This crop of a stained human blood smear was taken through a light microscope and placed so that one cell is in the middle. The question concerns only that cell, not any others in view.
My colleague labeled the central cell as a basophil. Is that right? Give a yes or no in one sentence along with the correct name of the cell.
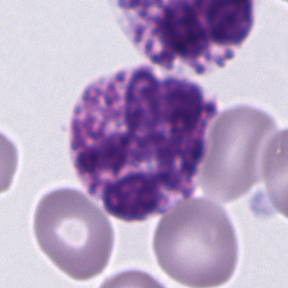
Yes, the cell shown at the crop's centre is a basophil.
